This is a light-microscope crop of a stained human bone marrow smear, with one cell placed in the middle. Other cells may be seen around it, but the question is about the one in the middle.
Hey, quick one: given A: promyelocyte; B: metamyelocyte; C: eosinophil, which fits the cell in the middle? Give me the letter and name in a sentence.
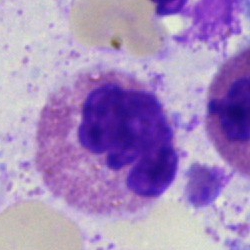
The cell in the middle is correctly identified as an eosinophil in option C.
